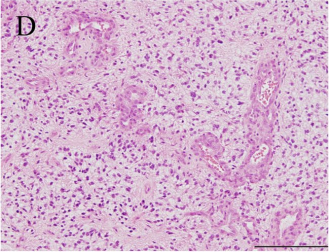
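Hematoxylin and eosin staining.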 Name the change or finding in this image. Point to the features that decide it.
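Several vessels with thickened, multilayered walls of plump cells. Vessels stand out as pink rounded structures within a cellular background of spindle and oval cells.
Hence: microvascular proliferation.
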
